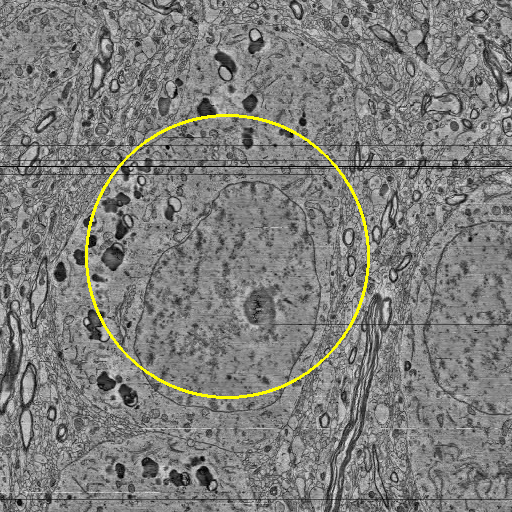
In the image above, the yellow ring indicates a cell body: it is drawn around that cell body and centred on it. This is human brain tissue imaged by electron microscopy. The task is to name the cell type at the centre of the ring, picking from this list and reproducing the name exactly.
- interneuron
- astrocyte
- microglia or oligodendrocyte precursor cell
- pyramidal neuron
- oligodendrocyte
pyramidal neuron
